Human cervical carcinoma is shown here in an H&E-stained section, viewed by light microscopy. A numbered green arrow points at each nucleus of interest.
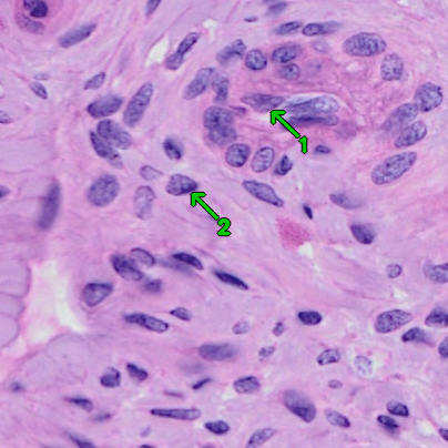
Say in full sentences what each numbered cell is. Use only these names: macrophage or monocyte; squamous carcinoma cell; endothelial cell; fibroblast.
Cell 1 is an endothelial cell. Cell 2 is a fibroblast.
